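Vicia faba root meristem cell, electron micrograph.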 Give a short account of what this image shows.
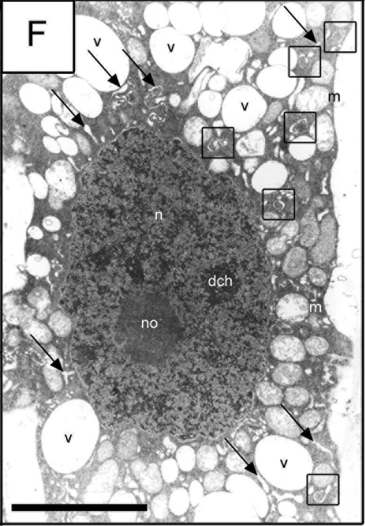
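The surrounding cytoplasm is crowded with many round pale vacuoles of various sizes and numerous mitochondria, and dilated elongated membrane cisternae run between them. Small rounded compartments holding membranous whorls lie scattered in the cytoplasm.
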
